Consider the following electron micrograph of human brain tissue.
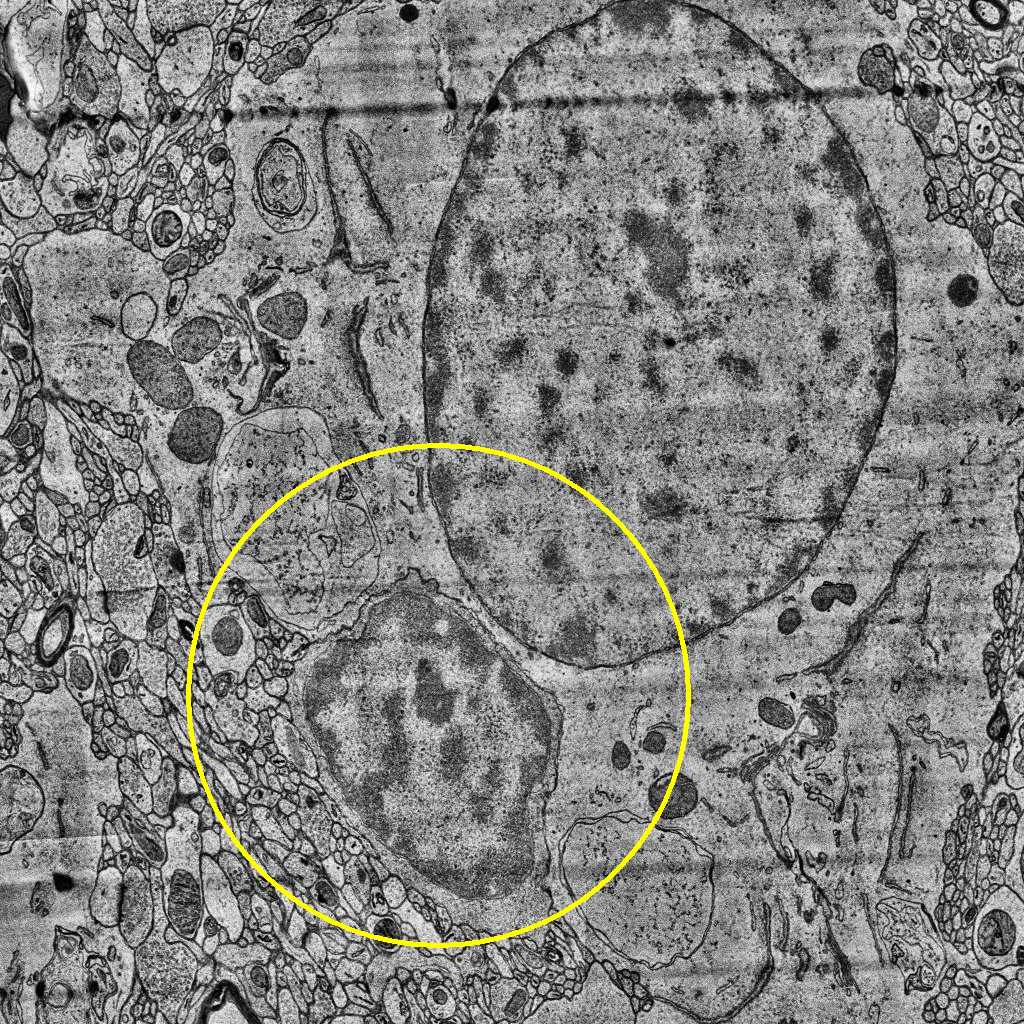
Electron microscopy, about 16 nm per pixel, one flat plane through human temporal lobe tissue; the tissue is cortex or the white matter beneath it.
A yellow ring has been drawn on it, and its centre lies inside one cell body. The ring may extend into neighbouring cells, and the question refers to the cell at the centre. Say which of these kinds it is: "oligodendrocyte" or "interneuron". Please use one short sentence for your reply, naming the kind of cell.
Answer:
The centre of the ring falls on an oligodendrocyte.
